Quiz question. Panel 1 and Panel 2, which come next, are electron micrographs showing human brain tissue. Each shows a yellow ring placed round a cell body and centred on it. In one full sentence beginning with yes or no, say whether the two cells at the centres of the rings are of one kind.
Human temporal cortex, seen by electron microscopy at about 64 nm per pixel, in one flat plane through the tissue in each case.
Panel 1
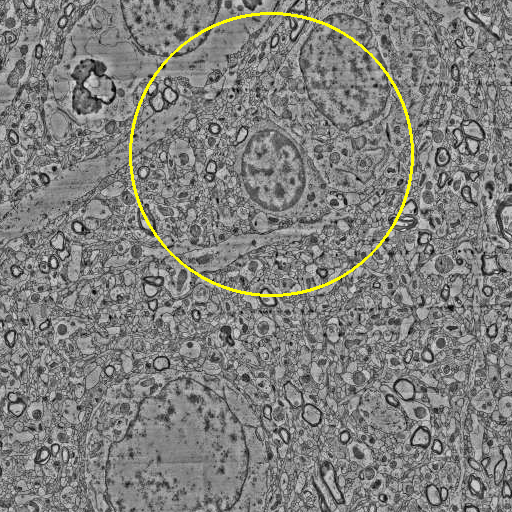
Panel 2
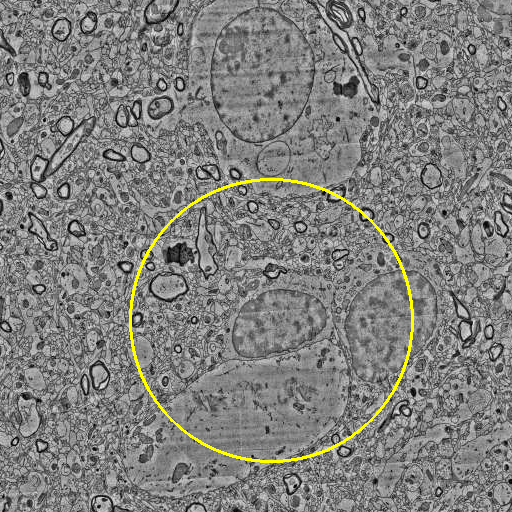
Yes, Panel 1 and Panel 2 show one kind of cell at the centre of the ring.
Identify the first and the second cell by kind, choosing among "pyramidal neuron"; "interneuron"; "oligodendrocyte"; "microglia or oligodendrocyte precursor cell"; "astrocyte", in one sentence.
Each one of the two ringed cells is an oligodendrocyte.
